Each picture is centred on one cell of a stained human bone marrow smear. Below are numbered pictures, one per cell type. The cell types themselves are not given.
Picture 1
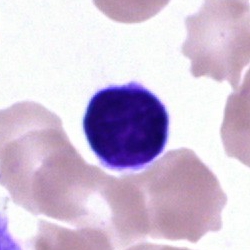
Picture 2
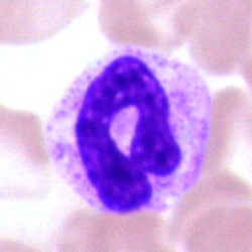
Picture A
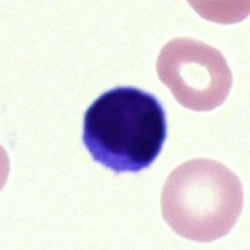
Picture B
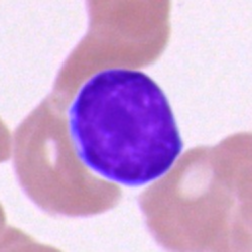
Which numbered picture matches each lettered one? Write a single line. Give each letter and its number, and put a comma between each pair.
A 1, B 1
